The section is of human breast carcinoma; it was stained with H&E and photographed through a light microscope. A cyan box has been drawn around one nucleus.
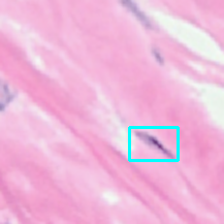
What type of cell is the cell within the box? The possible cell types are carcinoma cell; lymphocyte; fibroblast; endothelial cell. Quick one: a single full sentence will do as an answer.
Labelled by cell type, the cell within the box is a fibroblast.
